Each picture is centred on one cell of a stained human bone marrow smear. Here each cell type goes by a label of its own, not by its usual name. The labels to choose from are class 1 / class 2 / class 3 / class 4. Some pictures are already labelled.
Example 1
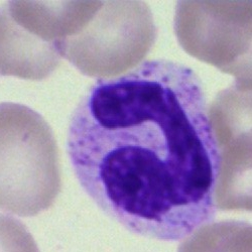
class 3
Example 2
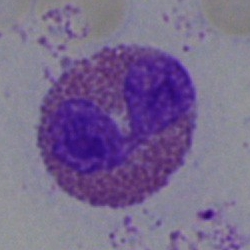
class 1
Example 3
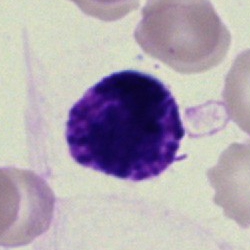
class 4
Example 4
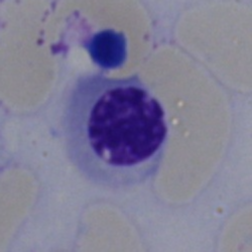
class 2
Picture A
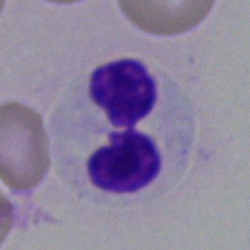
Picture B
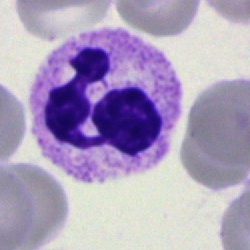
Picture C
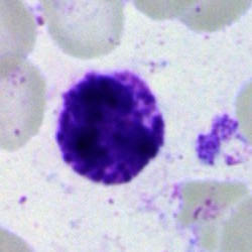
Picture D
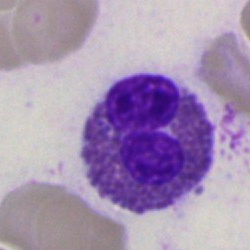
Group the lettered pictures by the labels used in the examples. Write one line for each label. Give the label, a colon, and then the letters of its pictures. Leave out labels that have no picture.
class 1: D
class 3: A, B
class 4: C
